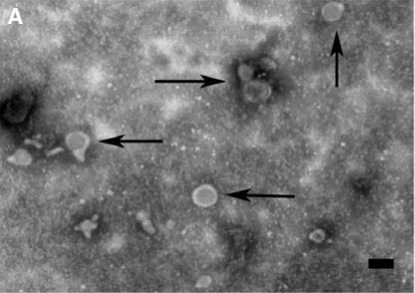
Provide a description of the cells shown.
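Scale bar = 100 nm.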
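This is a negatively stained electron micrograph of extracellular vesicles, small membrane-bound particles set free from cells, lying scattered on a mottled grey background. Darker irregular smudges nearby are debris or stain deposits rather than vesicles.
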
